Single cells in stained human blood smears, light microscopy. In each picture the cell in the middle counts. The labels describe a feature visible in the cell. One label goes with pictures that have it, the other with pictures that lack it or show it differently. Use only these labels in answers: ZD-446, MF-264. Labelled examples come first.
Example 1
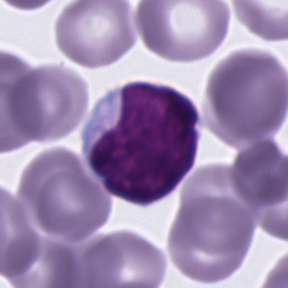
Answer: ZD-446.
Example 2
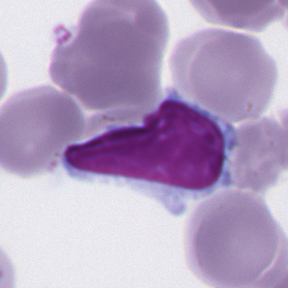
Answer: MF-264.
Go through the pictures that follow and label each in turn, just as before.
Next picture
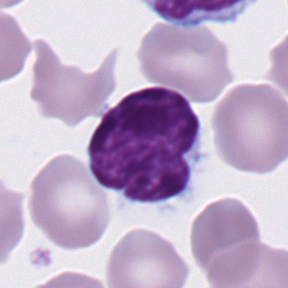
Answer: MF-264.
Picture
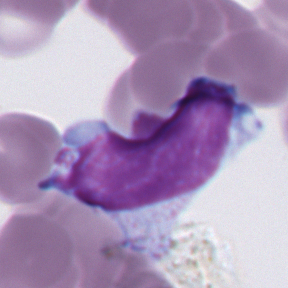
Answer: MF-264.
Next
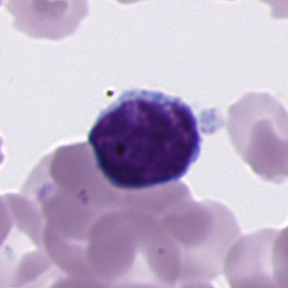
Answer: MF-264.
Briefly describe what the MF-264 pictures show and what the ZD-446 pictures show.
MF-264: ragged outline or projections; ZD-446: smooth outline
